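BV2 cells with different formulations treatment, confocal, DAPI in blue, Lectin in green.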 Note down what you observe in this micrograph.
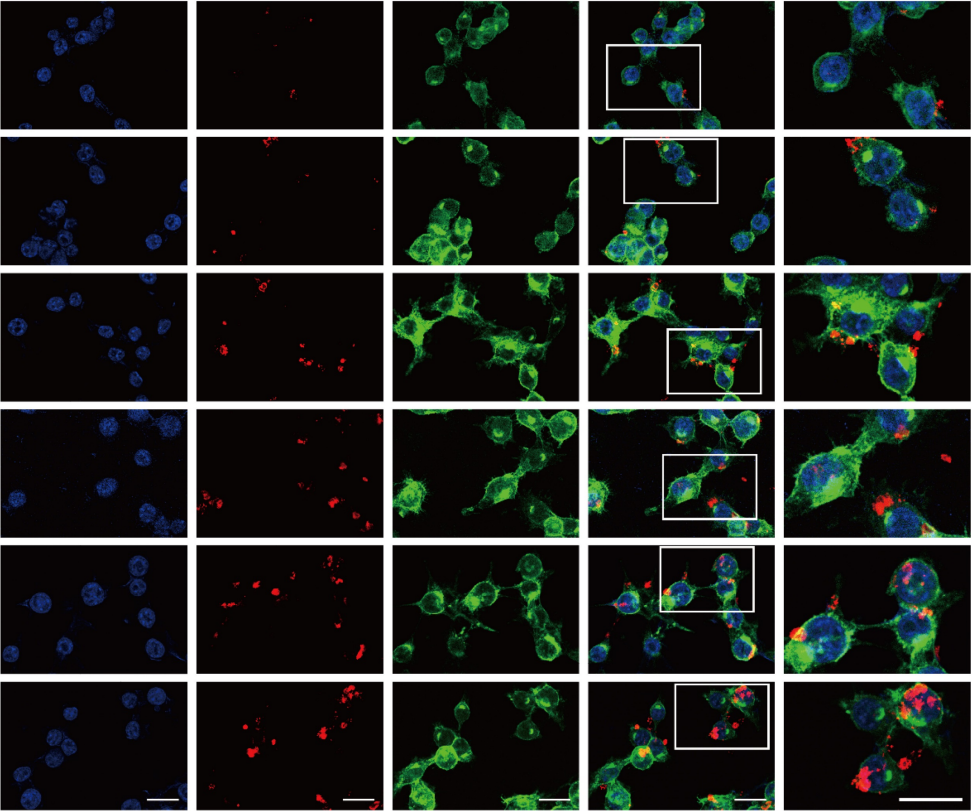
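These are cultured cells in a grid of confocal fields, each showing round to oval blue nuclei surrounded by green-outlined cytoplasm. Red puncta and clumps sit against the cells and, in many, inside the cytoplasm next to the nucleus. In the lower rows the red clumps inside cells are larger and more numerous than in the top rows.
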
